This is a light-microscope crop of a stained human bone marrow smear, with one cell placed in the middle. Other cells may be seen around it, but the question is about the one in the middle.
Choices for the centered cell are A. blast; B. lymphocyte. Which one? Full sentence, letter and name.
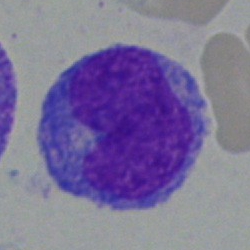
Option A is correct; the cell in the middle is a blast.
